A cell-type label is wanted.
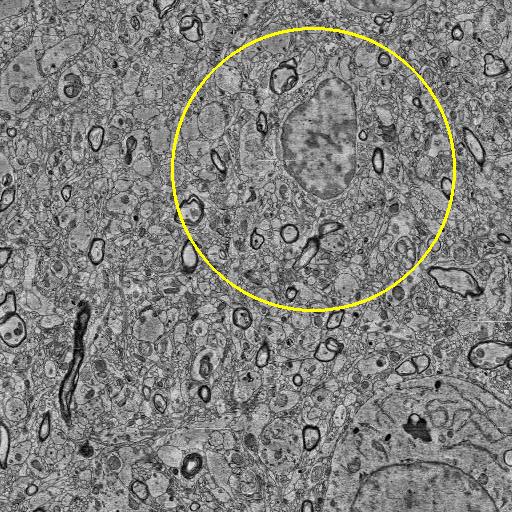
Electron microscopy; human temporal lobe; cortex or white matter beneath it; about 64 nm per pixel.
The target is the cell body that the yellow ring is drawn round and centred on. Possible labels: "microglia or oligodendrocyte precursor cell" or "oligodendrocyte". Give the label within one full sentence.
Of the labels offered, the cell in the middle of the yellow ring is a microglial cell or oligodendrocyte precursor cell.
